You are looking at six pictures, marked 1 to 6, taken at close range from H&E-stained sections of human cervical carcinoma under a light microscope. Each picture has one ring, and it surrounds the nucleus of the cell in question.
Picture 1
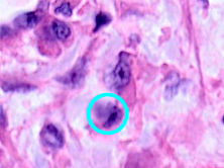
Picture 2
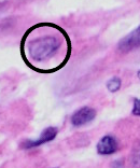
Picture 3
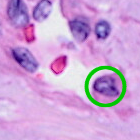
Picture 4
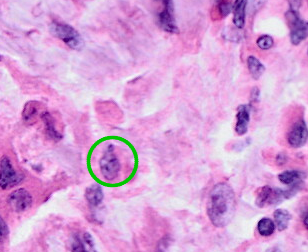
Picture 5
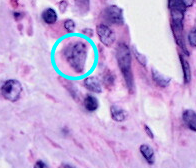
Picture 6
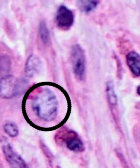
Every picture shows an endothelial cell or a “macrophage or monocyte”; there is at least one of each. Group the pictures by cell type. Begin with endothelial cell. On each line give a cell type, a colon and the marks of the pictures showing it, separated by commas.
endothelial cell: 3, 6
macrophage or monocyte: 1, 2, 4, 5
